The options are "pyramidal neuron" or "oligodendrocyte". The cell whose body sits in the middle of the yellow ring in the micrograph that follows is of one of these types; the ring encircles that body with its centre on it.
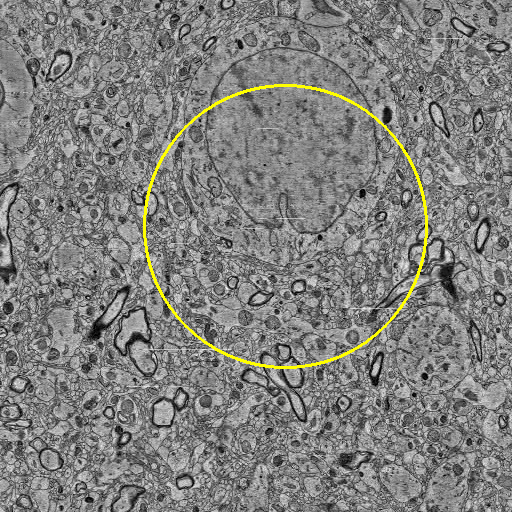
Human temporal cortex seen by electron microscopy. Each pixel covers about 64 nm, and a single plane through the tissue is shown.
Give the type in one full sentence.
Going by the micrograph, the cell centred in the yellow ring is a pyramidal neuron.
